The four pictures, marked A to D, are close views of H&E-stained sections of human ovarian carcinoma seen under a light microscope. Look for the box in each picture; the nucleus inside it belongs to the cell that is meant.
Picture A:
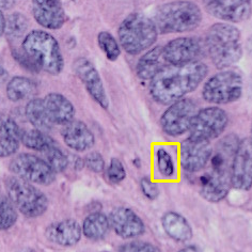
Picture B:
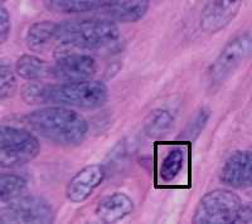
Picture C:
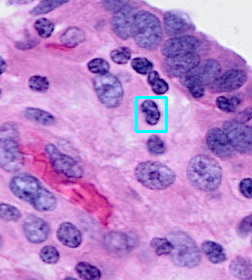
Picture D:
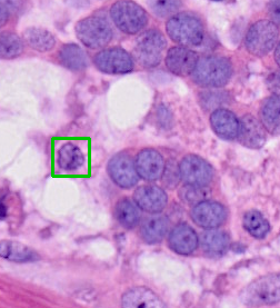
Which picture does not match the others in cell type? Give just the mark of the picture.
D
